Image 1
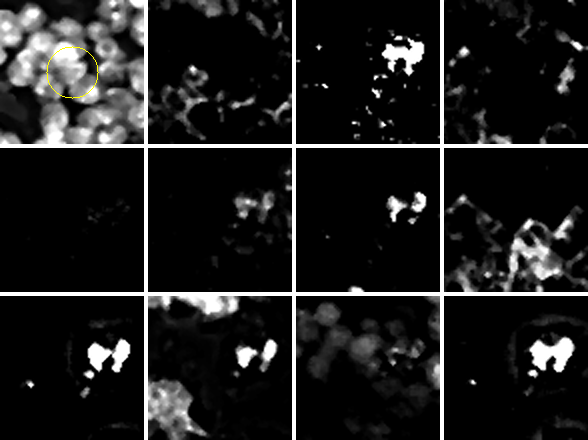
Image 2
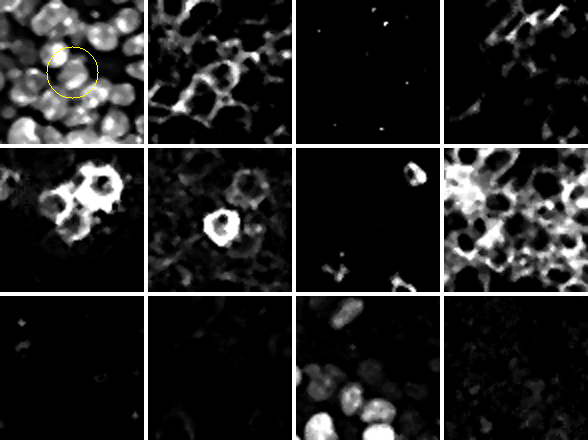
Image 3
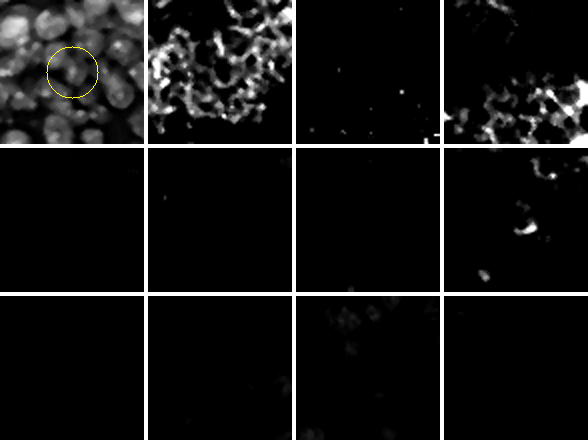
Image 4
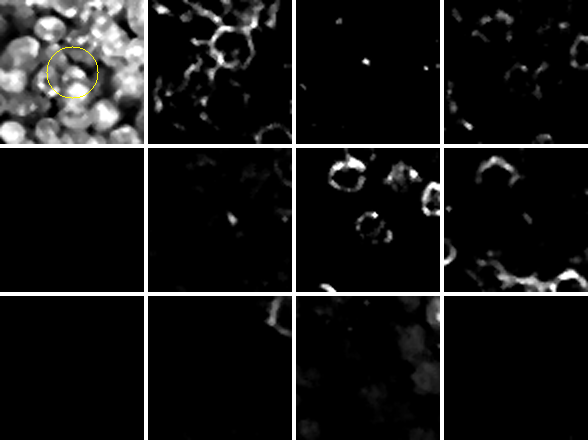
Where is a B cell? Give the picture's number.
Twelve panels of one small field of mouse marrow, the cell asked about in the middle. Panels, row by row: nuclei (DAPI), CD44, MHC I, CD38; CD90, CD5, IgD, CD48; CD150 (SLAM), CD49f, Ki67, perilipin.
4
